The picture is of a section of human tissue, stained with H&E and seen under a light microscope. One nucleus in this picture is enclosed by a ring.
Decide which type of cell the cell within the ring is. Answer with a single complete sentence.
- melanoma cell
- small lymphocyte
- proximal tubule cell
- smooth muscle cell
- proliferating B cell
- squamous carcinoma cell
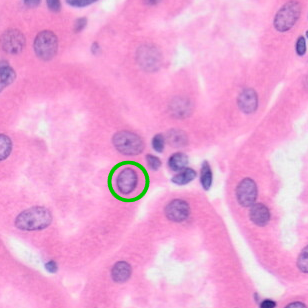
Speaking plainly, the cell within the ring is nothing other than a proximal tubule cell.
